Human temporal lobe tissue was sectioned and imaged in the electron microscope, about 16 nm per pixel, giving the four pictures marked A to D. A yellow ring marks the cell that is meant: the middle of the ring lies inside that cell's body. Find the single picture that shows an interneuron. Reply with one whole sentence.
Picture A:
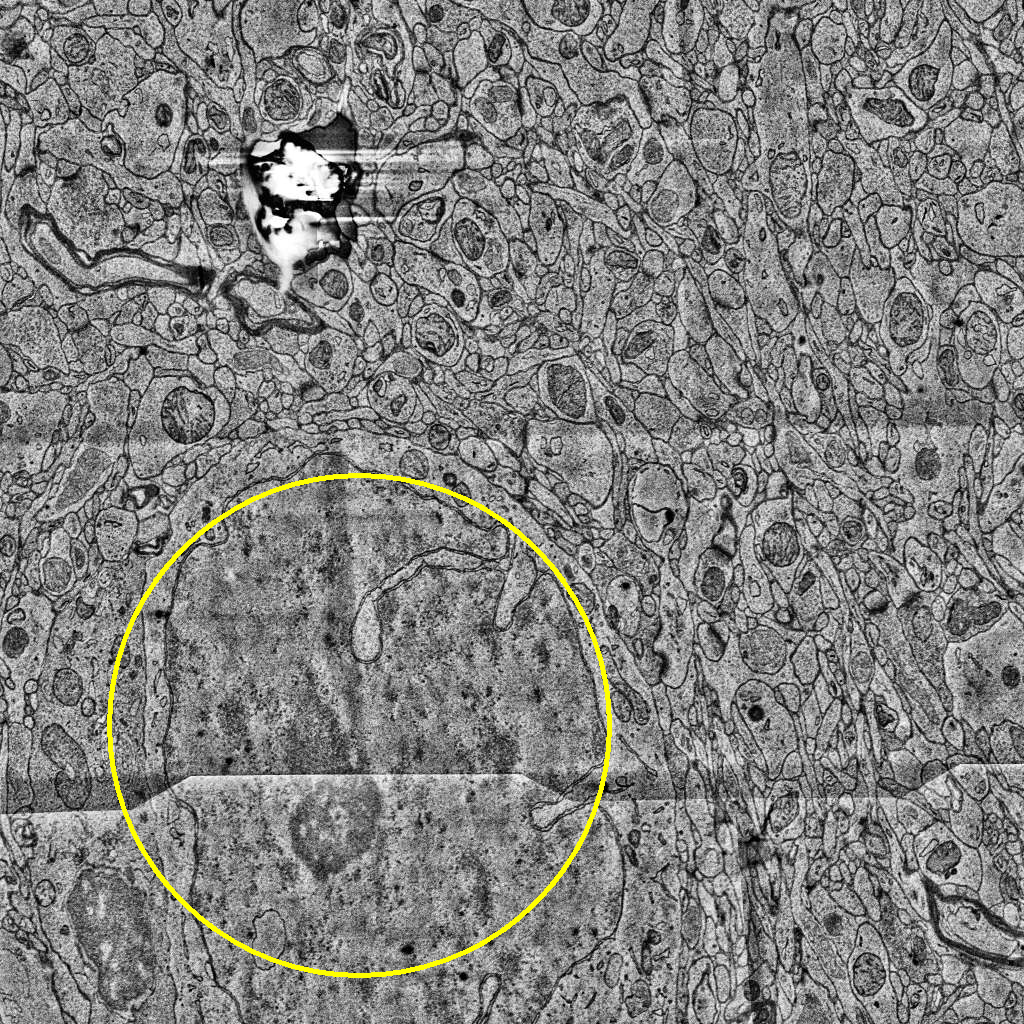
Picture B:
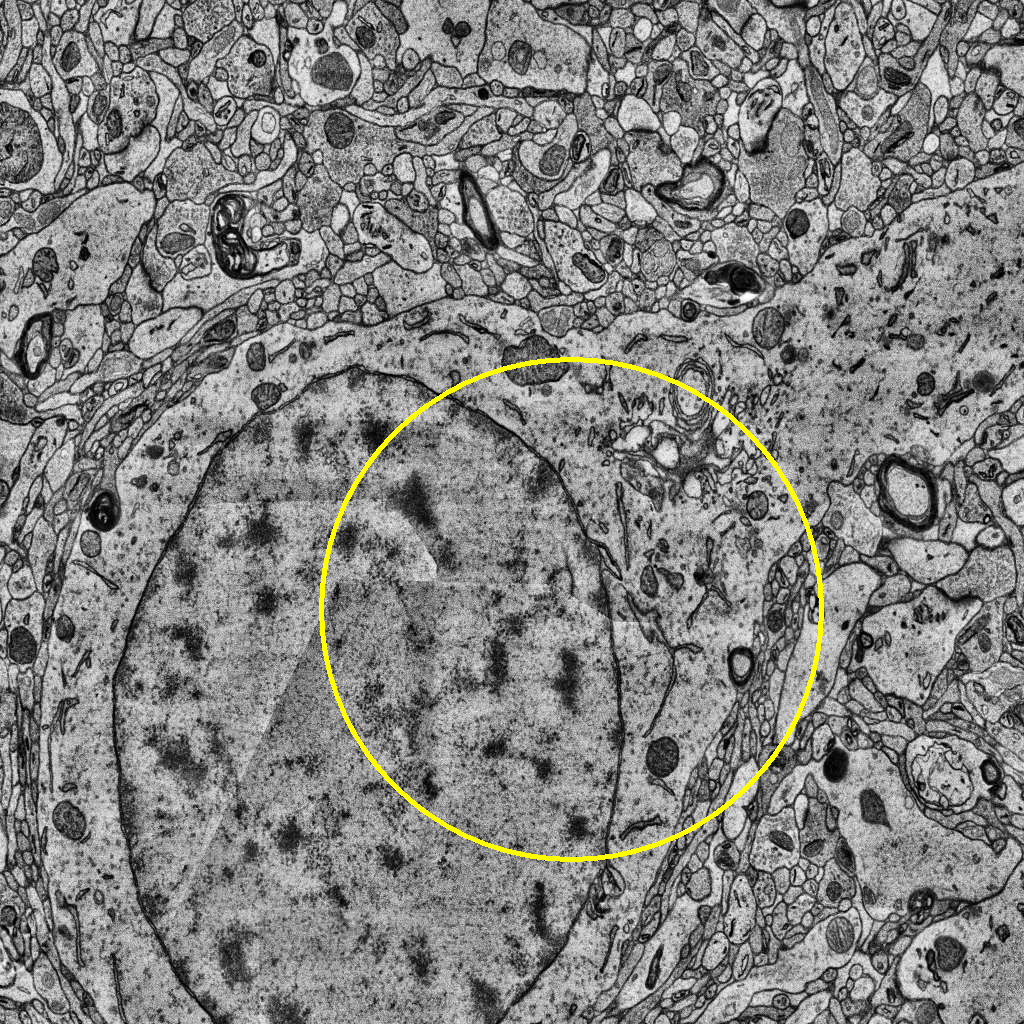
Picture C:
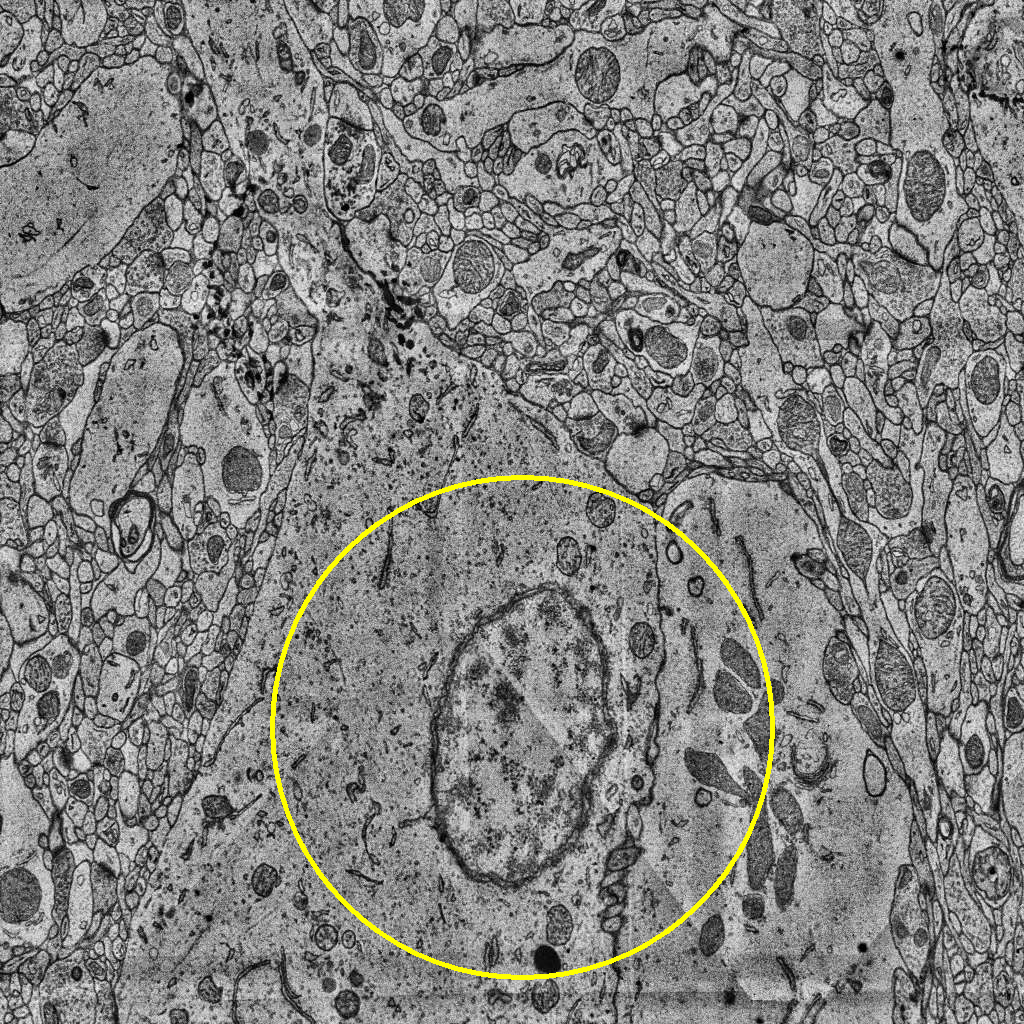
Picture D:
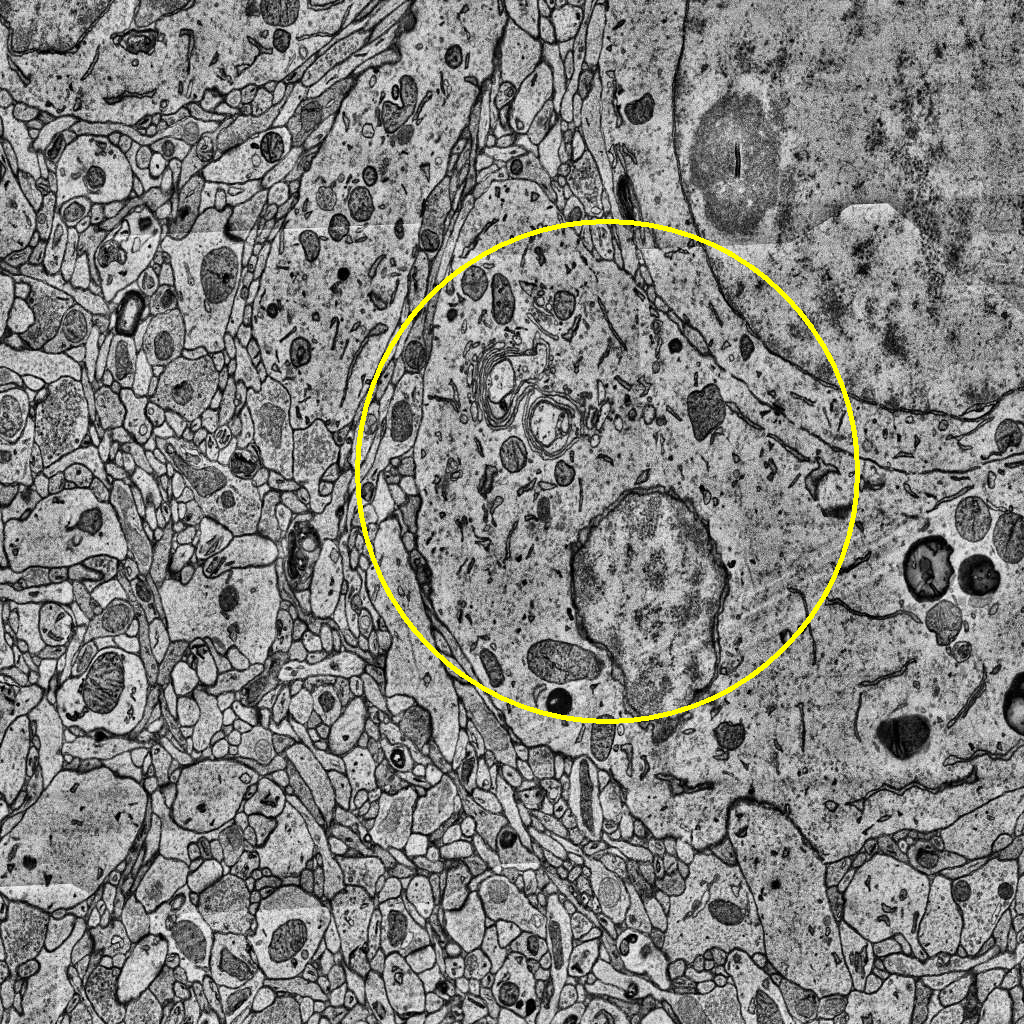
Picture A is the one that shows the interneuron.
